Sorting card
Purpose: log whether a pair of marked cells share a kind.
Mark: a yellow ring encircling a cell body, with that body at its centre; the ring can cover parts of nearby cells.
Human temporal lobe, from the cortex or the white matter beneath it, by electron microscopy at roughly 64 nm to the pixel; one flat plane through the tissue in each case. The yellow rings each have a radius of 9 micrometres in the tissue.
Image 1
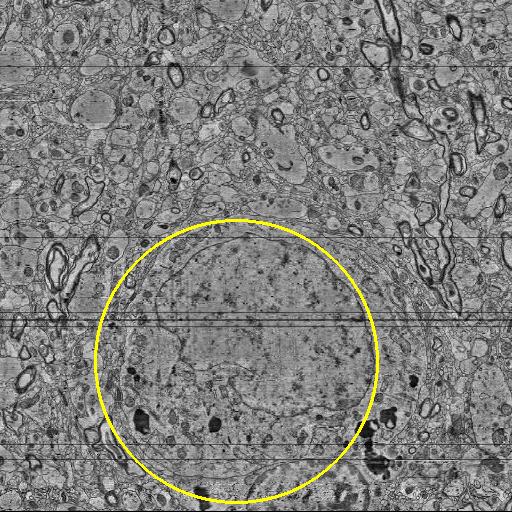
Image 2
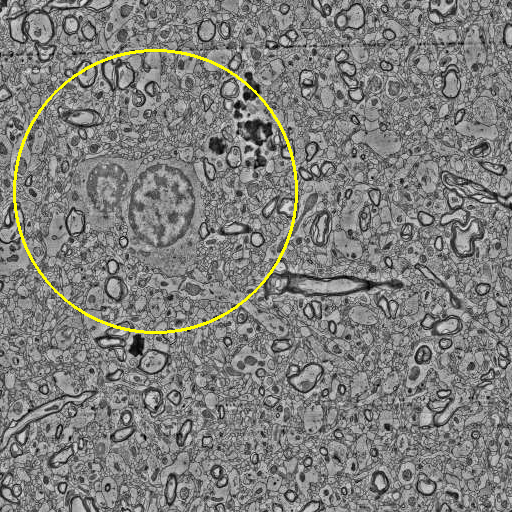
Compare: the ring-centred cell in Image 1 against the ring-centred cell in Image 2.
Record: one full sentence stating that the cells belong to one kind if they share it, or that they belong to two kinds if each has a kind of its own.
Across Images 1 and 2, the two ring-centred cells belong to two kinds.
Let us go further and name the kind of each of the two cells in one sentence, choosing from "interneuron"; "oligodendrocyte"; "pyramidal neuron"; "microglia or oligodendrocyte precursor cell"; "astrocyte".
The ring of the first picture is on a pyramidal neuron, the ring of the second on an oligodendrocyte.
